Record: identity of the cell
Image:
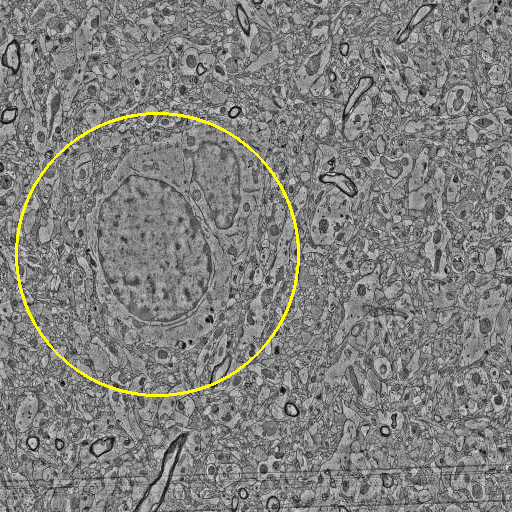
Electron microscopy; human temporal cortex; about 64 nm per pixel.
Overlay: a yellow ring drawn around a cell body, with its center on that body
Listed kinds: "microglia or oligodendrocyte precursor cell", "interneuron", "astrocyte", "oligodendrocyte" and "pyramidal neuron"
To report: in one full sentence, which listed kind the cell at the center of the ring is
In the image, the cell body at the ring's center belongs to a microglial cell or oligodendrocyte precursor cell.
